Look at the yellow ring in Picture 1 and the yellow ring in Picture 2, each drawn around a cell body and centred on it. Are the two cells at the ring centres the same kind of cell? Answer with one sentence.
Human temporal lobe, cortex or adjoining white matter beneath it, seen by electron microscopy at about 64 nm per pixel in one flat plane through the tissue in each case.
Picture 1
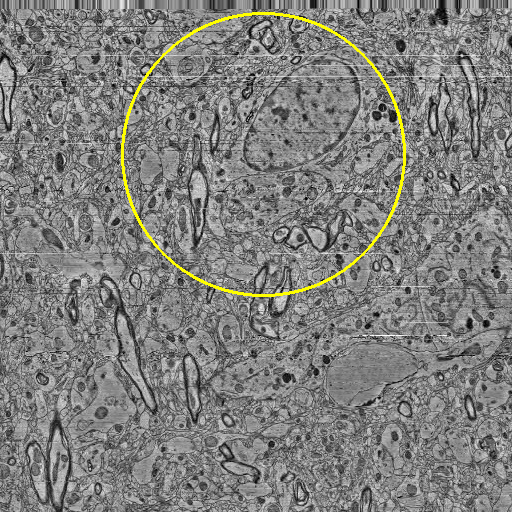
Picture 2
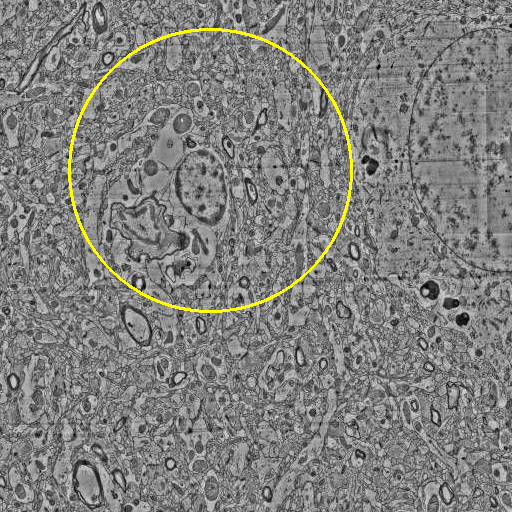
Yes, both are the same kind of cell.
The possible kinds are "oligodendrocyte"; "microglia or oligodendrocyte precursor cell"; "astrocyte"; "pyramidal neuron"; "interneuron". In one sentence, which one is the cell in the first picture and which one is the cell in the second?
In each of the two pictures, the ringed cell is a microglial cell or oligodendrocyte precursor cell.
